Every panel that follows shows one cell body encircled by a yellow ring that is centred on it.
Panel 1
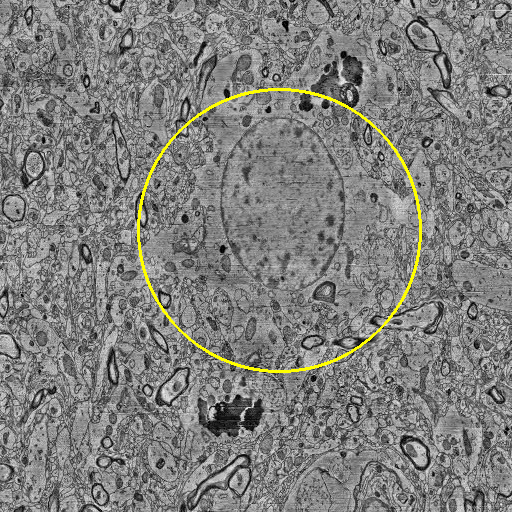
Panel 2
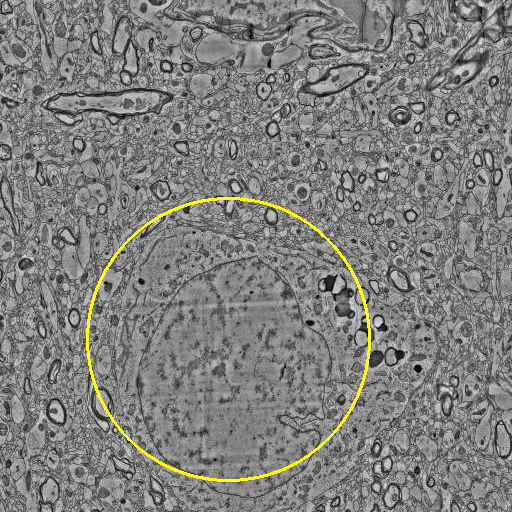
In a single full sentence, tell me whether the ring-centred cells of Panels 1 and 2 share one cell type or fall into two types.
In Panel 1 and Panel 2, the cells at the ring centres fall into two types.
